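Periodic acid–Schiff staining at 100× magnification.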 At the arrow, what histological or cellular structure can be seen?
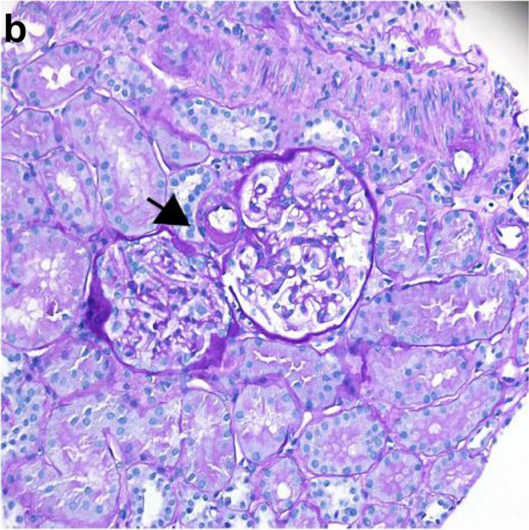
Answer: hilar arterioles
